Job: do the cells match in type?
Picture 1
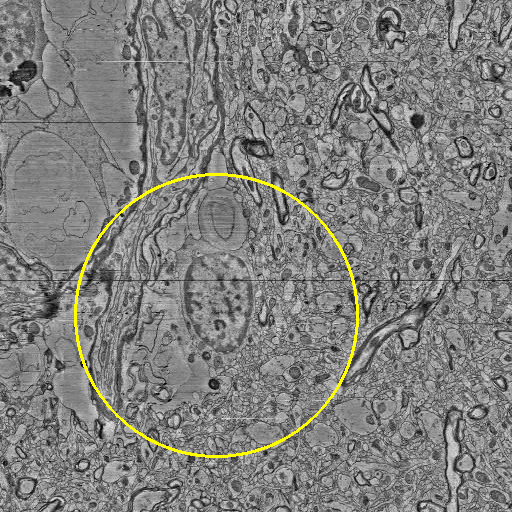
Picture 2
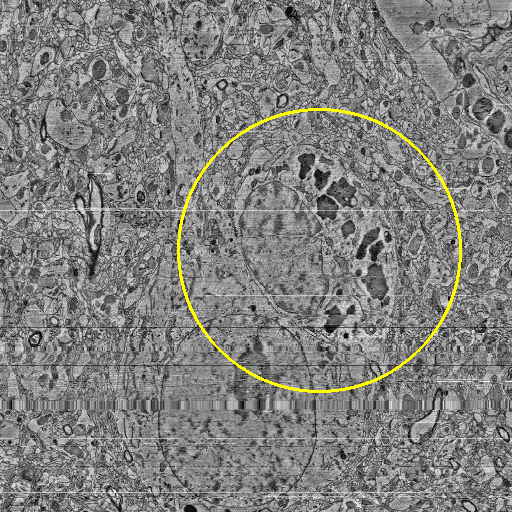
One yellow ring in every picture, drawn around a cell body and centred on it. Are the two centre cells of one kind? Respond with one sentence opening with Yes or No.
No, the ringed cells in the two pictures are of two separate kinds.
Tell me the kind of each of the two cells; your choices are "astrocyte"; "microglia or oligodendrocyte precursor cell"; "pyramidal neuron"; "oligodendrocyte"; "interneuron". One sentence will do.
The ringed cell is an oligodendrocyte in the first picture and an interneuron in the second picture.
